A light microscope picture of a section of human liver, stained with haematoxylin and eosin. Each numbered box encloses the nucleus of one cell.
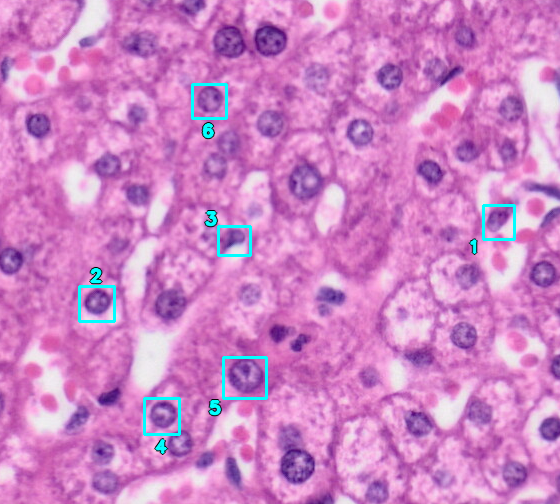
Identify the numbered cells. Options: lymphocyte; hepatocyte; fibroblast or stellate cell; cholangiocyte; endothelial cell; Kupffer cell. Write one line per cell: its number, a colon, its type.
1: Kupffer cell
2: hepatocyte
3: endothelial cell
4: hepatocyte
5: hepatocyte
6: hepatocyte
